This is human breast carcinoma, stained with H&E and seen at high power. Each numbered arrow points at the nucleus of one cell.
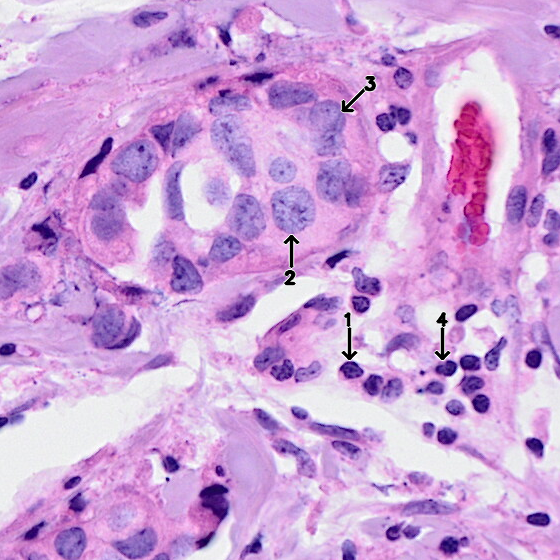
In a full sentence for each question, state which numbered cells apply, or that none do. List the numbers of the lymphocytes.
The cells that have numbers 1 and 4 are lymphocytes.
